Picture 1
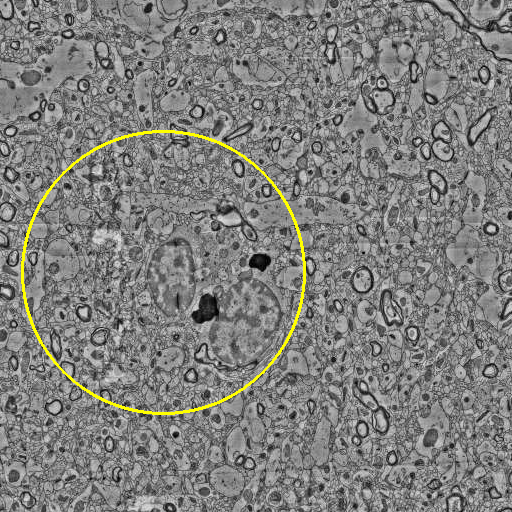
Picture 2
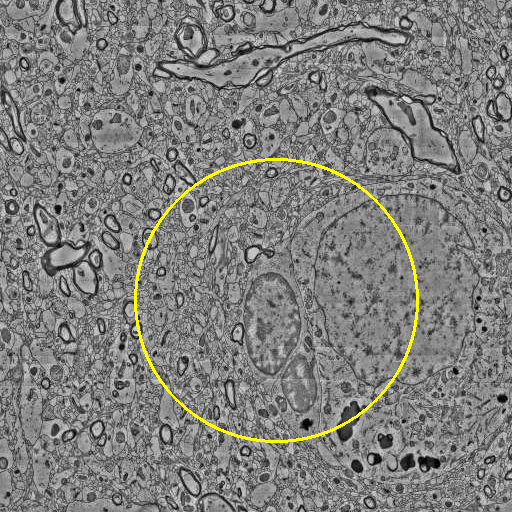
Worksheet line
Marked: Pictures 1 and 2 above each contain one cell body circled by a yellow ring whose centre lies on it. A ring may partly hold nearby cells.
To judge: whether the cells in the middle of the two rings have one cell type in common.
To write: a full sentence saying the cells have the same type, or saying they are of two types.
The cells in the middle of the rings in Picture 1 and Picture 2 have the same type.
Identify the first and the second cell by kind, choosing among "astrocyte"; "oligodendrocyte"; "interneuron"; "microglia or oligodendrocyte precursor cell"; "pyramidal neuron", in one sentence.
The first and the second cell are each an oligodendrocyte.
